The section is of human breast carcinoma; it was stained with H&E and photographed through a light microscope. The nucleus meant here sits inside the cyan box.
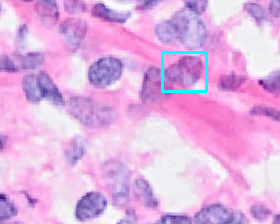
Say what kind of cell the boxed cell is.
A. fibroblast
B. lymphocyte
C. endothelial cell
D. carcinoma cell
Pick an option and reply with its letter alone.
D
